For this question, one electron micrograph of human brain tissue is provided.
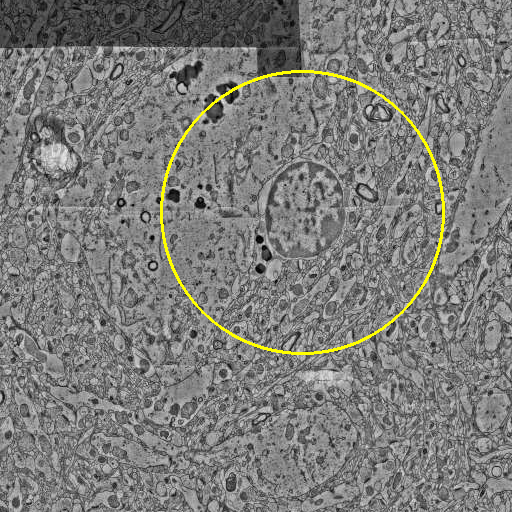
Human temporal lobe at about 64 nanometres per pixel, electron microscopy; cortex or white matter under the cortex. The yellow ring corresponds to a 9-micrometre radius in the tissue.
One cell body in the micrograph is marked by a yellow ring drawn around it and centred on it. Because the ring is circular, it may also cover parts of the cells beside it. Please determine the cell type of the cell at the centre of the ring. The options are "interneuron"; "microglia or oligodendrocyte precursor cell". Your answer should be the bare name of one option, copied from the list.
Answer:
microglia or oligodendrocyte precursor cell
